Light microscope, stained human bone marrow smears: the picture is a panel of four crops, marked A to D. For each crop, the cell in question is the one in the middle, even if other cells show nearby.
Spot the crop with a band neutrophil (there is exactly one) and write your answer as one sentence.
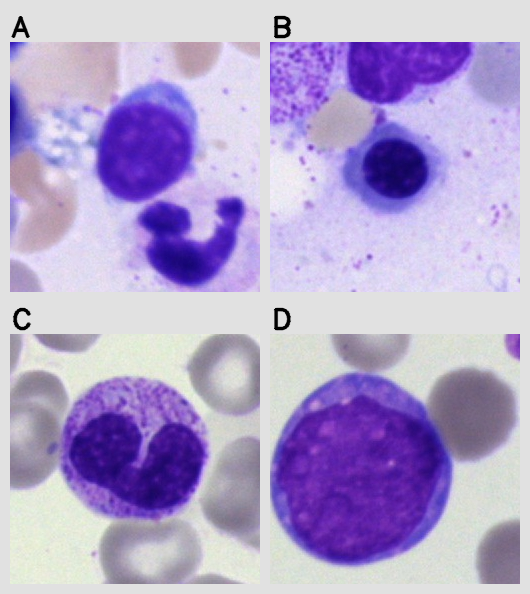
Crop C represents a band neutrophil, while the other crops do not.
